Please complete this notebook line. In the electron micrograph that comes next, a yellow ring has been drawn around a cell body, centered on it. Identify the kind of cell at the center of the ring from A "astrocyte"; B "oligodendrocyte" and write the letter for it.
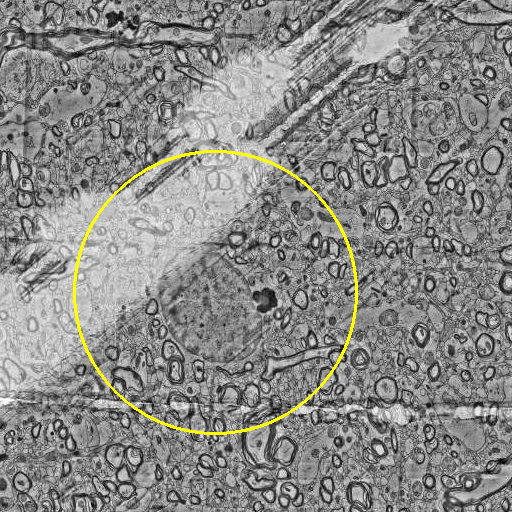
B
